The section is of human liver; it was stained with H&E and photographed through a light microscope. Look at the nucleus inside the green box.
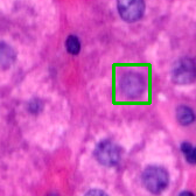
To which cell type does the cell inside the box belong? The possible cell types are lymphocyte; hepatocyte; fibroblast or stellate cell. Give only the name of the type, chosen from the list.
hepatocyte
